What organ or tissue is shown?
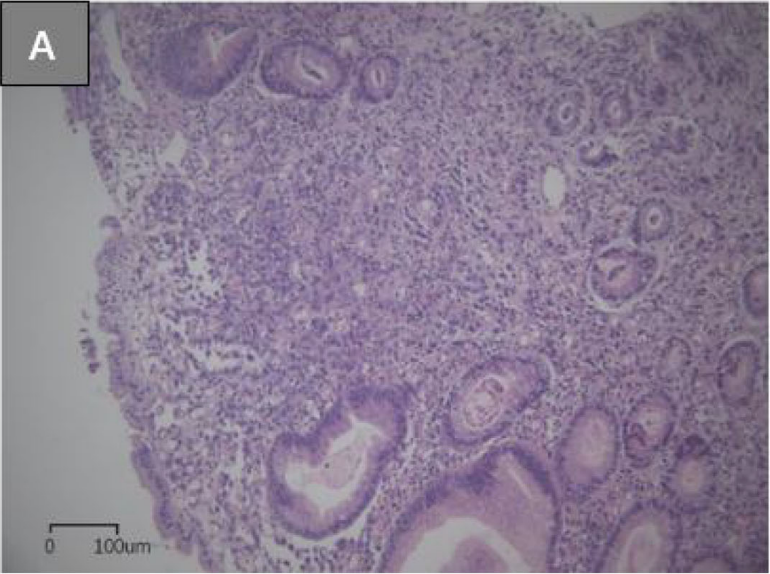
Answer: Mucosa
